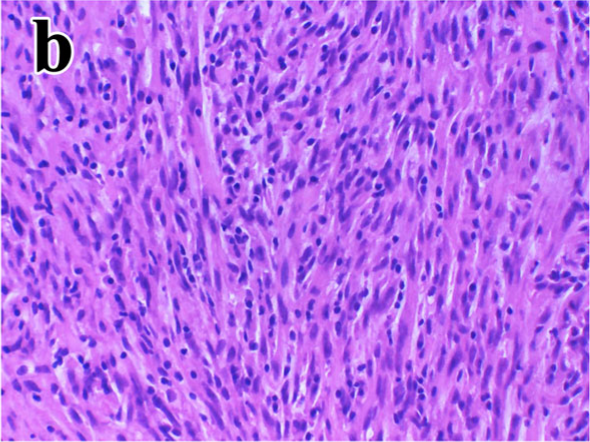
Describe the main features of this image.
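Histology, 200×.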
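Spindle cells are arranged in closely packed, streaming fascicles in a pink fibrillary background. Their nuclei are elongated and dark, varying slightly in size and shape, with some plumper forms, indicating mild atypia.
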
